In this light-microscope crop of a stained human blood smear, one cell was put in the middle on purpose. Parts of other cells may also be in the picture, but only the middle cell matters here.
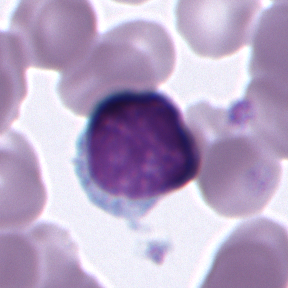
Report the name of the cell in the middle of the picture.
typical lymphocyte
